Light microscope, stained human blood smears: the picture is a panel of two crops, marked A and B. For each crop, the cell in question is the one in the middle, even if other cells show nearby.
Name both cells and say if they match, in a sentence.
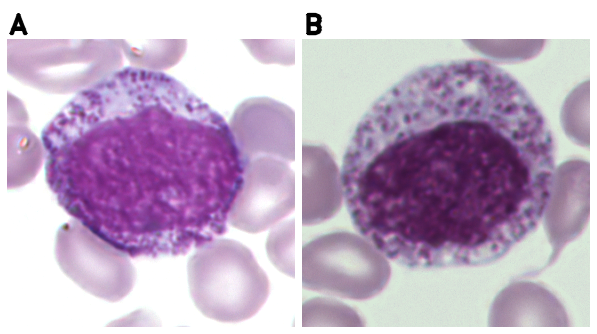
Yes, they do, both crops show myelocytes.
